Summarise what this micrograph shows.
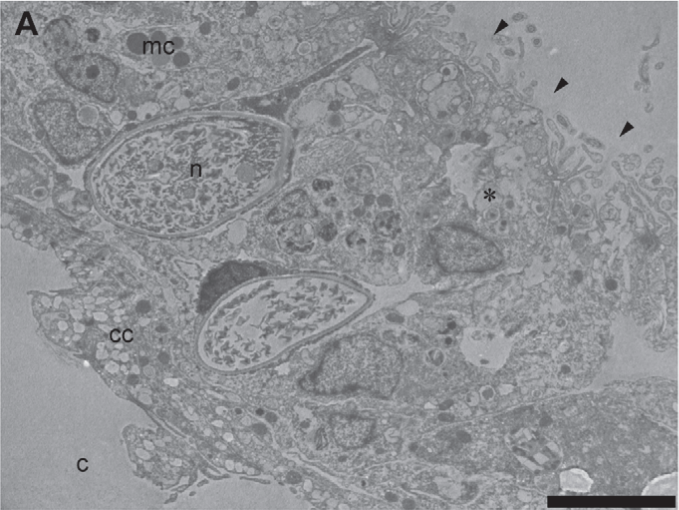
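Toward the outer edge, fine finger-like projections reach into the open space. In the lower part the cells become elongated and their cytoplasm is crowded with many small pale vesicles, the look of skeleton-forming calicoblastic cells. An empty cavity lies below and to the left of the tissue.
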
